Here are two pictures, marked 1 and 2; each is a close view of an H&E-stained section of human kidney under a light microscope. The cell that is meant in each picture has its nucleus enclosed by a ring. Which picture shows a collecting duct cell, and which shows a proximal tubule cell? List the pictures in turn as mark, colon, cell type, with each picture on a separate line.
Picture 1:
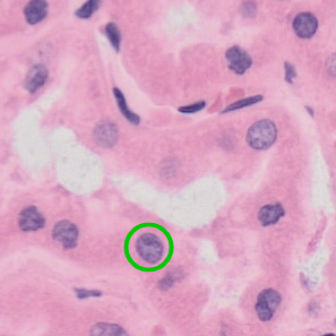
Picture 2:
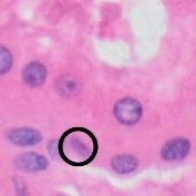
1: proximal tubule cell
2: collecting duct cell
